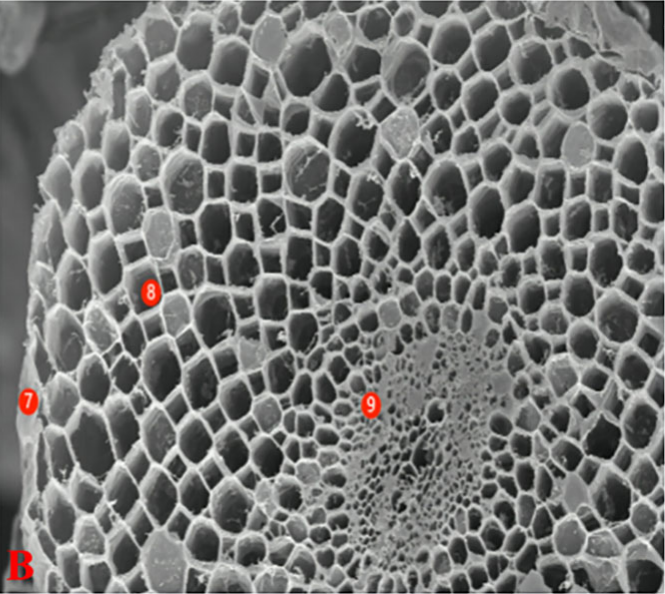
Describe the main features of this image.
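Cross-section of a root with a thin outer epidermis, a broad cortex and a central stele. The cortex consists of many large, thin-walled polygonal cells in a regular honeycomb, while the stele toward the centre is made of much smaller, densely packed cells.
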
